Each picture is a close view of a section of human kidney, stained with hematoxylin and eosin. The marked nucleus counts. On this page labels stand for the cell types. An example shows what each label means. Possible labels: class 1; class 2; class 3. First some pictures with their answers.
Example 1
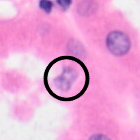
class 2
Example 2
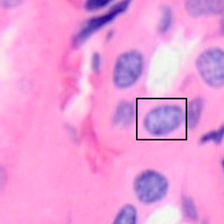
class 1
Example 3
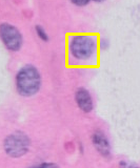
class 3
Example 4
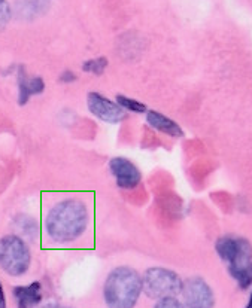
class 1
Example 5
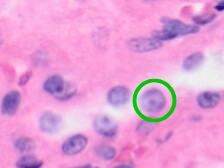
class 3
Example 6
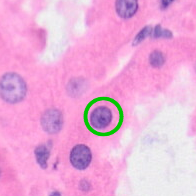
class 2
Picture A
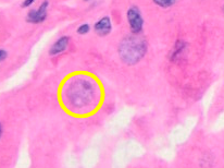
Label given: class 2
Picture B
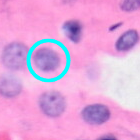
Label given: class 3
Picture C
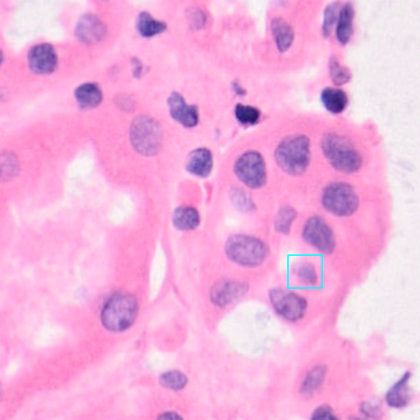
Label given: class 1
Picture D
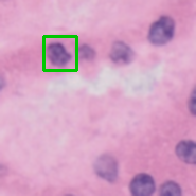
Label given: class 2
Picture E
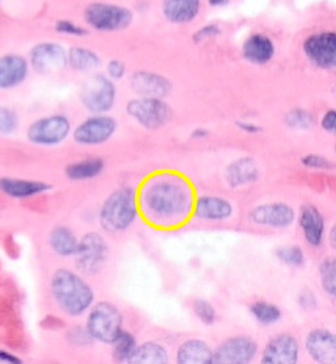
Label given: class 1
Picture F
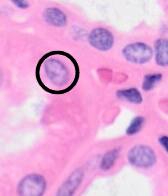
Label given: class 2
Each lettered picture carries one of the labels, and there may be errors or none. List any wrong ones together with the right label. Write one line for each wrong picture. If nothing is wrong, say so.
No label is wrong.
